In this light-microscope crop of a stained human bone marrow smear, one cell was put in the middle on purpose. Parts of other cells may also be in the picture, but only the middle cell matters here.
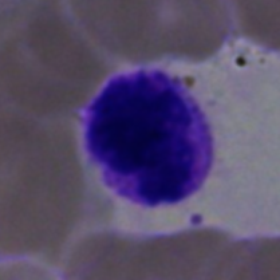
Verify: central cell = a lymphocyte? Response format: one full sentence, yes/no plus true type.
No, the cell at the centre of the crop is a basophil and not a lymphocyte.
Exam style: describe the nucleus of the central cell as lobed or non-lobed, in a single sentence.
One compact mass makes up the whole nucleus, round, oval or kidney-shaped.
